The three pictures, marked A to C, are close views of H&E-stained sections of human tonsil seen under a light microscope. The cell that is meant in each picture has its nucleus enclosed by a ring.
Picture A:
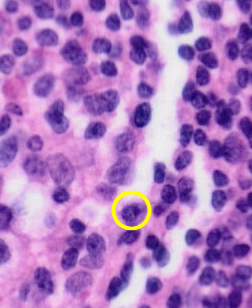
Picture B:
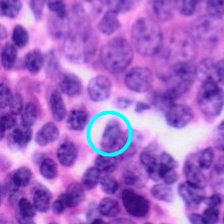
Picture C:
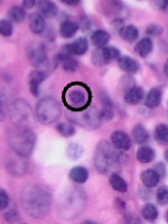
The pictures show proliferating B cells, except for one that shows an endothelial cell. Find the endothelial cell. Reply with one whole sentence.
Picture C is the one that shows the endothelial cell.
